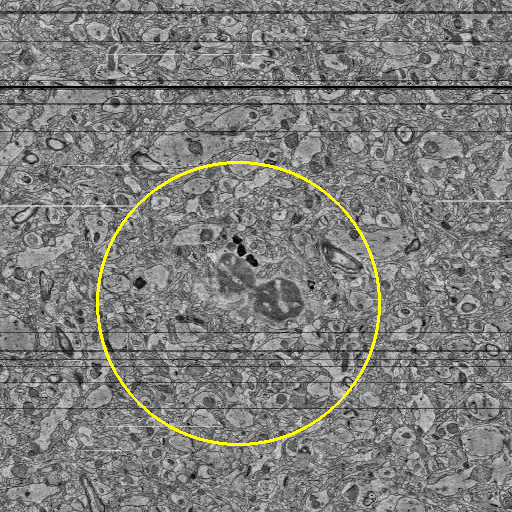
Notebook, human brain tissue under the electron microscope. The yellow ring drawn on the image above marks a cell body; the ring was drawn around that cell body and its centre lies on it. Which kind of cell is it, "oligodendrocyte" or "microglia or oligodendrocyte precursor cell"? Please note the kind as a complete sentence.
The marked cell body is that of a microglial cell or oligodendrocyte precursor cell.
